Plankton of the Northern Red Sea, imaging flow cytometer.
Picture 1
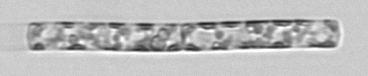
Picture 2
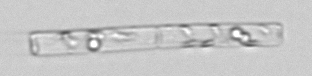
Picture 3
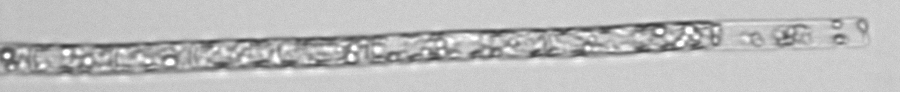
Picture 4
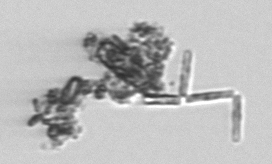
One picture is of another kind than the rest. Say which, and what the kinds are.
Picture 4 shows Thalassionema; the rest show Leptocylindrus.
